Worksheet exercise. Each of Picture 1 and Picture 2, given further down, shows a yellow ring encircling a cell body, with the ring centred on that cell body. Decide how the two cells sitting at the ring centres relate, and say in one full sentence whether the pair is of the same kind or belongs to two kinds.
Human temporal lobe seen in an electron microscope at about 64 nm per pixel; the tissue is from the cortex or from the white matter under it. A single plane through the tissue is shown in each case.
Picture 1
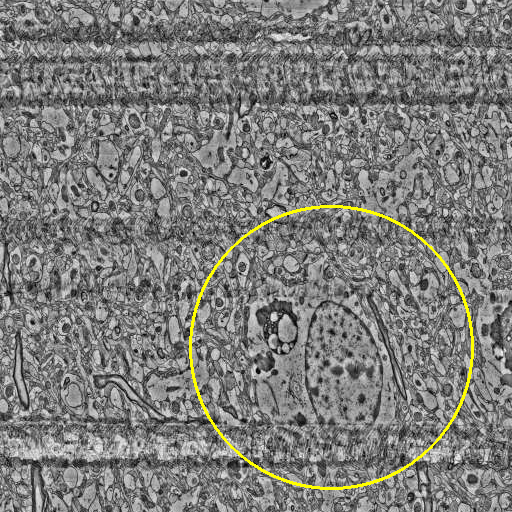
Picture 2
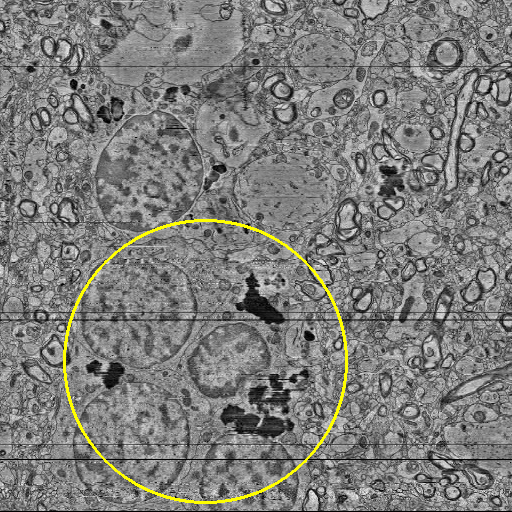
The cells at the ring centres in Picture 1 and Picture 2 belong to two kinds.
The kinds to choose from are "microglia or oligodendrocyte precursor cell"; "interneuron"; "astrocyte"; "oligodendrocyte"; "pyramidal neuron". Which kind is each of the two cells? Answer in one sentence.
Of the two, the first cell is an astrocyte and the second cell is an oligodendrocyte.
